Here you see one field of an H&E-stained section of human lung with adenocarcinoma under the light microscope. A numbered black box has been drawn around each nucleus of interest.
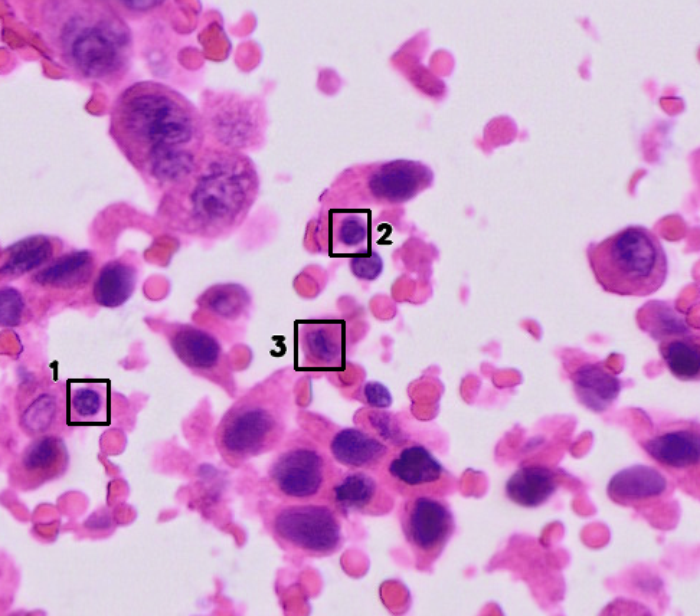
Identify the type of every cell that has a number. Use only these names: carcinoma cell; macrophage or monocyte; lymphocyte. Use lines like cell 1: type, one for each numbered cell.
cell 1: lymphocyte
cell 2: lymphocyte
cell 3: macrophage or monocyte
